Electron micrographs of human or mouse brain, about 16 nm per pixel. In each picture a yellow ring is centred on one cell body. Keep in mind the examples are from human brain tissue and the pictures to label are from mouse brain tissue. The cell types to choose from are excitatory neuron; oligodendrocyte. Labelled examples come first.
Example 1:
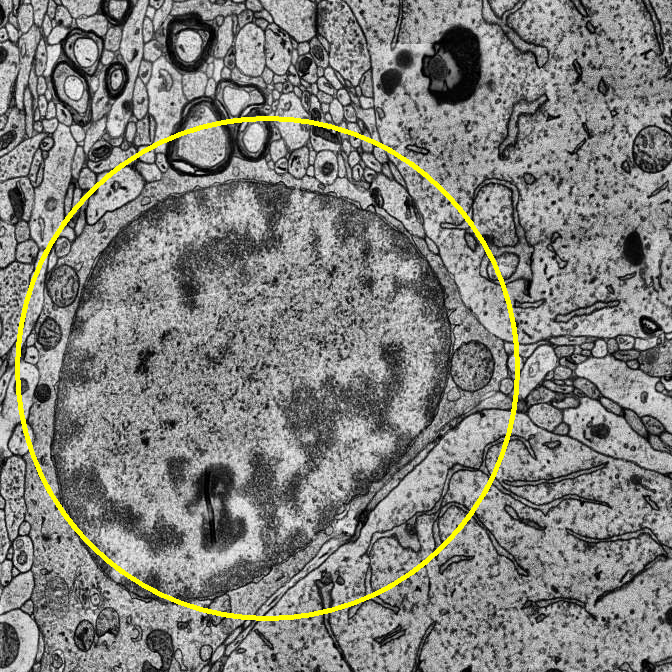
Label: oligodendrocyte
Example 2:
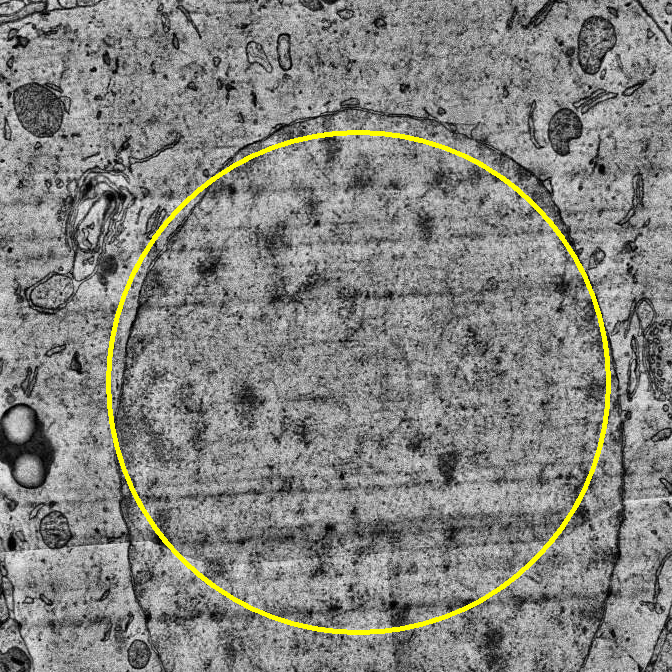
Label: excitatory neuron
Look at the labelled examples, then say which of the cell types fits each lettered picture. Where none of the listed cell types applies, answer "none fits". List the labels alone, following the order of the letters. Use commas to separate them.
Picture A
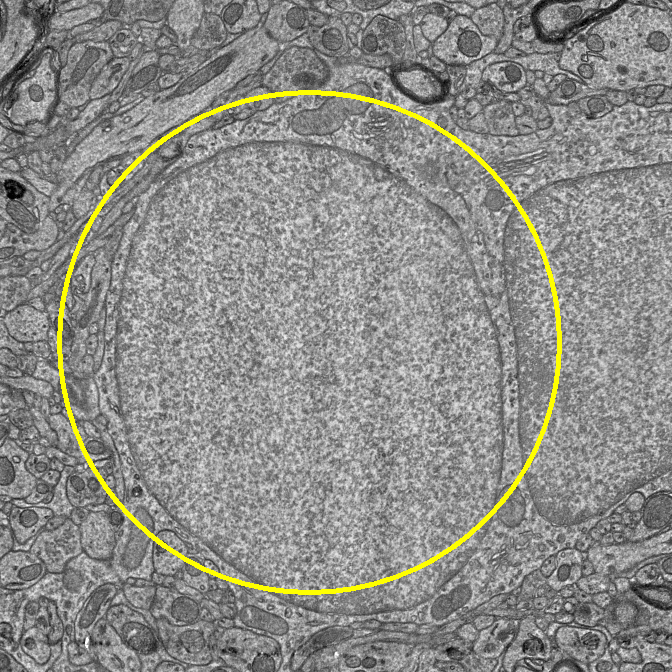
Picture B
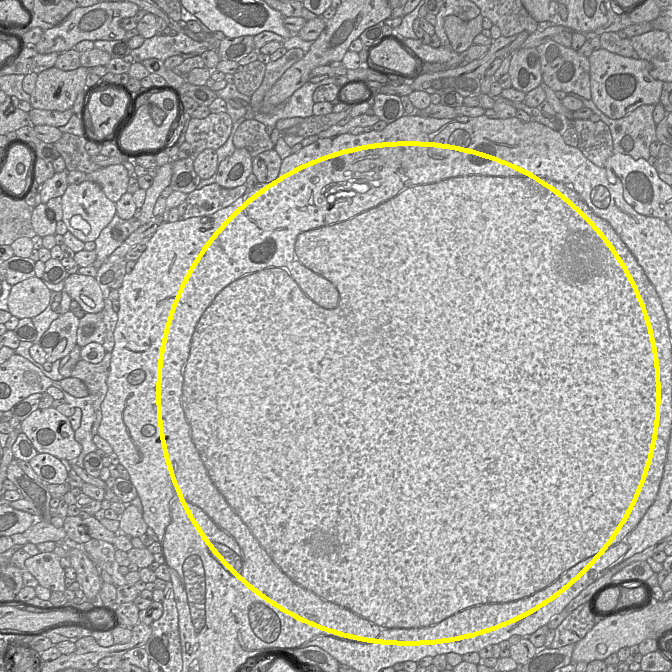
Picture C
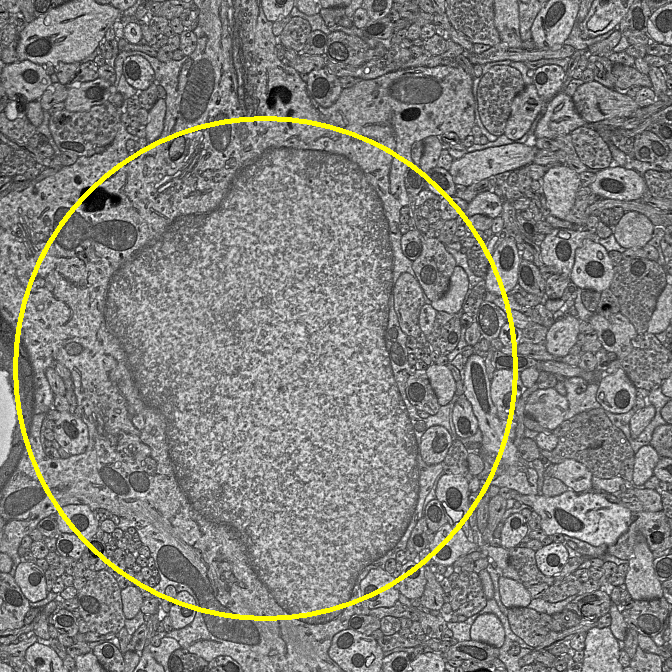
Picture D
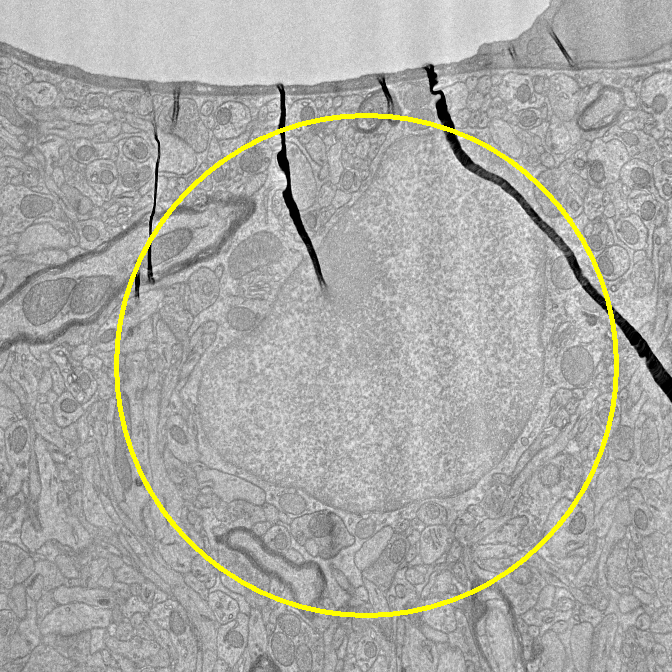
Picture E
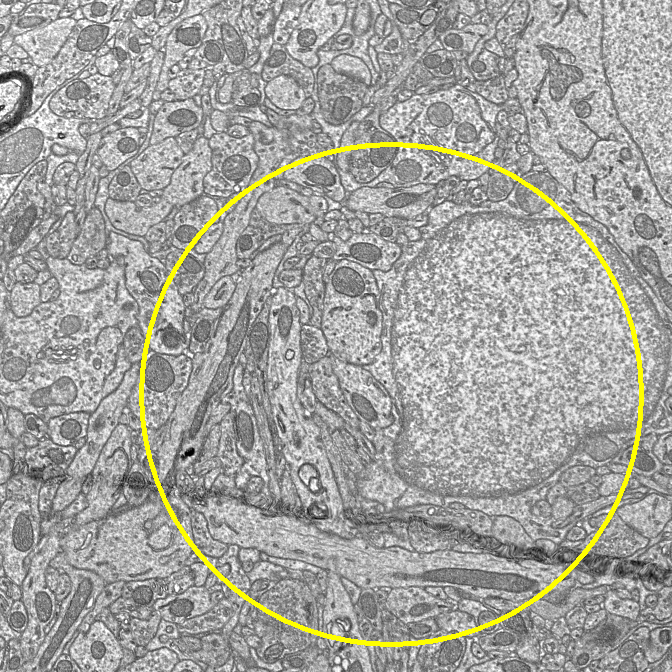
none fits, excitatory neuron, none fits, none fits, none fits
